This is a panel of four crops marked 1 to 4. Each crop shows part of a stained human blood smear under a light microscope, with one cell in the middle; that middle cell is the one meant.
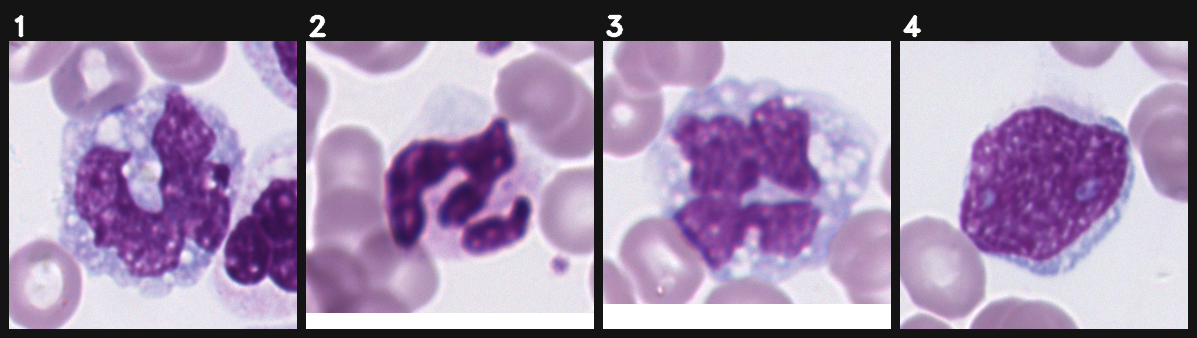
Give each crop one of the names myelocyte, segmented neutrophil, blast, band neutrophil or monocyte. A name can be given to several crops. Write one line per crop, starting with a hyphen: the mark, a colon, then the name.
- 1: monocyte
- 2: segmented neutrophil
- 3: monocyte
- 4: blast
